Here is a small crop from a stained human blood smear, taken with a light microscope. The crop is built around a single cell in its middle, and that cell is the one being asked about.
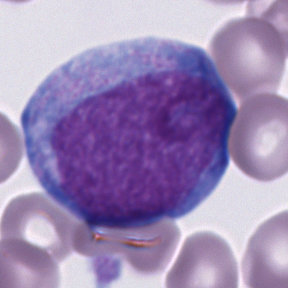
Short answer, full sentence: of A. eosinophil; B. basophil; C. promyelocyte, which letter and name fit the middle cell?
The centrally located cell is a promyelocyte, making option C the correct choice.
